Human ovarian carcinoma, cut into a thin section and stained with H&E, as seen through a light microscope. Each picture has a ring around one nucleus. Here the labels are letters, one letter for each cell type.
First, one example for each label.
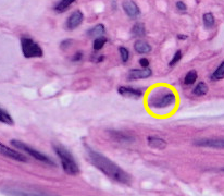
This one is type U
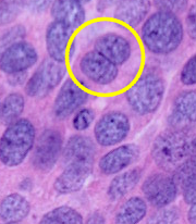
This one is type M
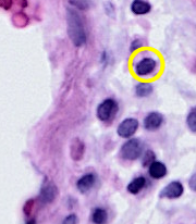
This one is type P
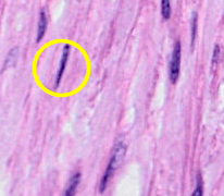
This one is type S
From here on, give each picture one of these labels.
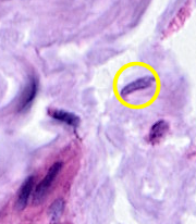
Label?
type S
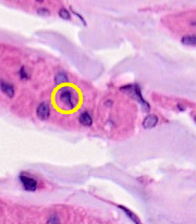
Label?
type U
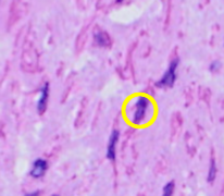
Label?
type S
